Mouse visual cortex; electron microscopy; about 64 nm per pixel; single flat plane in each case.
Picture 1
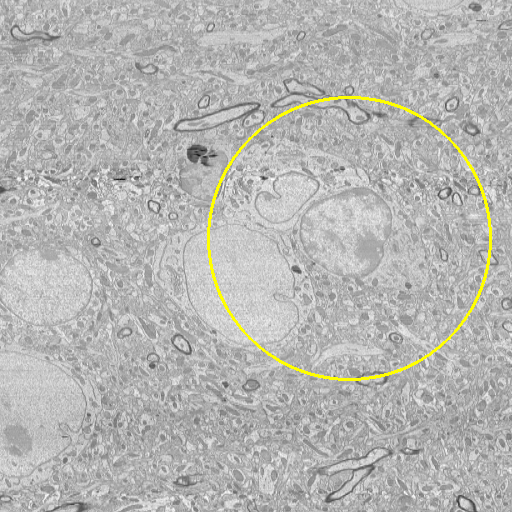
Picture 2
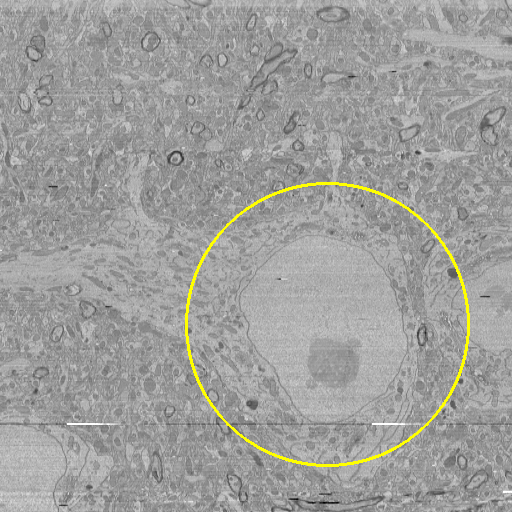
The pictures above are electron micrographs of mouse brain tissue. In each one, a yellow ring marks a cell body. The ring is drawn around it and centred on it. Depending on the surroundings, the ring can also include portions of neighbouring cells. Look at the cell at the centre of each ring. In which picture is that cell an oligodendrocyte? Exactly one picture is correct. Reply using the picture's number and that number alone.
1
